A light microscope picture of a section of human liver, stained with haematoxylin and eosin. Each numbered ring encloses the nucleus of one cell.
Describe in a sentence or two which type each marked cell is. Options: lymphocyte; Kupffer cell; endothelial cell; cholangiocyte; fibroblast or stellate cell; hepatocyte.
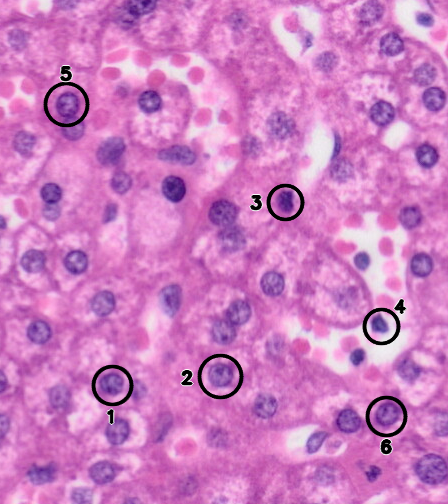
Cell 1 is a hepatocyte, cell 2 is a hepatocyte, cell 3 is a fibroblast or stellate cell, cell 4 is a lymphocyte, cell 5 is a hepatocyte and cell 6 is a hepatocyte.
